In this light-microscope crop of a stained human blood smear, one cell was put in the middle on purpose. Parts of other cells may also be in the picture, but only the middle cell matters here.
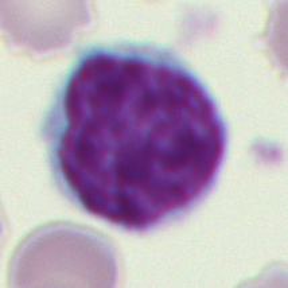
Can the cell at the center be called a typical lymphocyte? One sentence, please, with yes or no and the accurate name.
Yes, as regards the cell in the middle, it is a typical lymphocyte.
